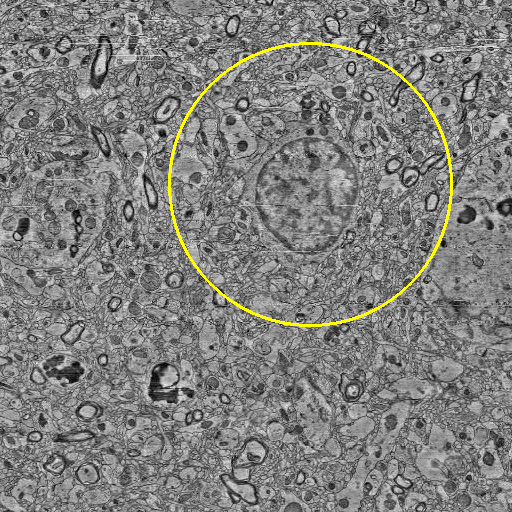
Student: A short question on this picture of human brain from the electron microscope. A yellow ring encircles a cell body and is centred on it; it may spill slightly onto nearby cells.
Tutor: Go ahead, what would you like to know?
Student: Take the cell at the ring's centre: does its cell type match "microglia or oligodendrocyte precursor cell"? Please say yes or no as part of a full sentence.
No, the cell found at the ring's centre in the picture has another cell type.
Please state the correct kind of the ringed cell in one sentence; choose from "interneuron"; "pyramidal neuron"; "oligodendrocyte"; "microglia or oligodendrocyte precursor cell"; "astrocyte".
The cell at the ring centre is an oligodendrocyte.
